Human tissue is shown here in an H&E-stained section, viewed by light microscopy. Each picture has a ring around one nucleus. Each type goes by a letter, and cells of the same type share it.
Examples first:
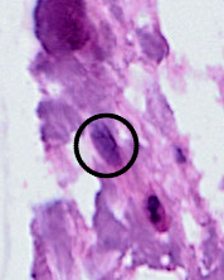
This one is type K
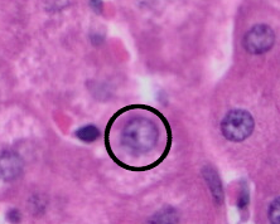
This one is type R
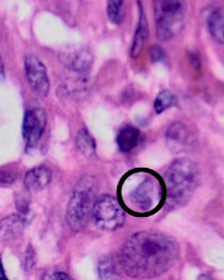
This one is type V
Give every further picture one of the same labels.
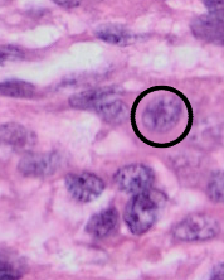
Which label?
type V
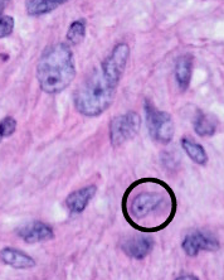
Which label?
type K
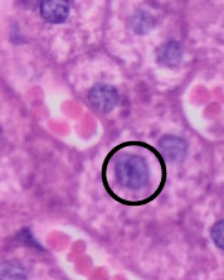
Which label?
type R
